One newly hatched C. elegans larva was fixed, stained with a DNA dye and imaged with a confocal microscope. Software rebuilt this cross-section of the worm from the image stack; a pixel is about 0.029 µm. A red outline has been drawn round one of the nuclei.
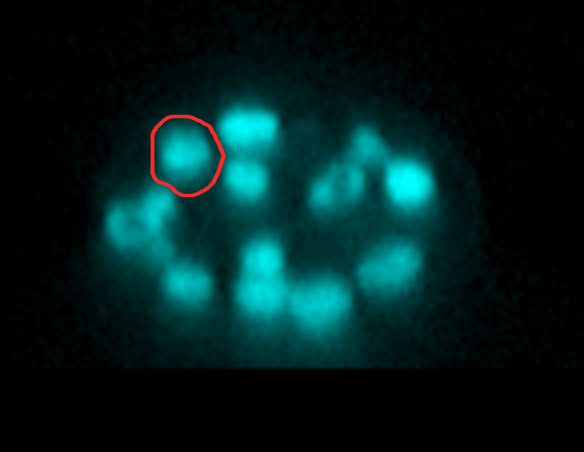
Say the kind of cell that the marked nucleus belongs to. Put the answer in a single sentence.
This nucleus is from a body wall muscle cell.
